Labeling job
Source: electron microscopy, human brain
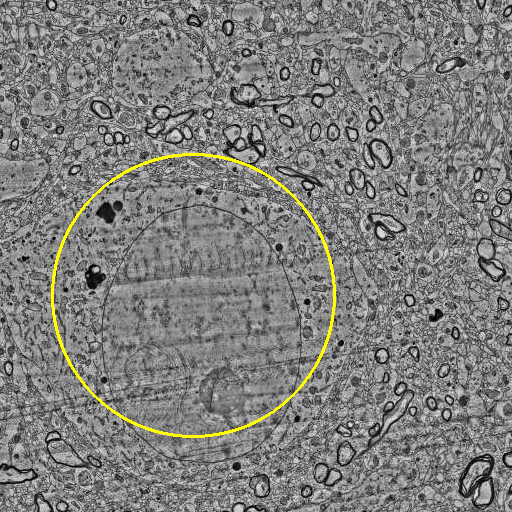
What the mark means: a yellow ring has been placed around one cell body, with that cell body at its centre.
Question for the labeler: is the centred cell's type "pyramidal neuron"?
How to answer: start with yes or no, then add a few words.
Yes, that is its type.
